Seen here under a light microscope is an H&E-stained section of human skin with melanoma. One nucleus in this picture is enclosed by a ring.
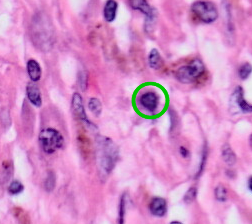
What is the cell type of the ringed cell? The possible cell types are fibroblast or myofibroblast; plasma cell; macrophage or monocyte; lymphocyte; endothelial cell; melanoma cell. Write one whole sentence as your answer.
The category to which the ringed cell belongs is that of a plasma cell.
